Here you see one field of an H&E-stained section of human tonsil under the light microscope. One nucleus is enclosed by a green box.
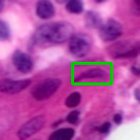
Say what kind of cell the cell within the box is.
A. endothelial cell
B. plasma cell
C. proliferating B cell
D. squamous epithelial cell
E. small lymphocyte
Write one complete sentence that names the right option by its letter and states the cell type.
The right option is D, the cell within the box being a squamous epithelial cell.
